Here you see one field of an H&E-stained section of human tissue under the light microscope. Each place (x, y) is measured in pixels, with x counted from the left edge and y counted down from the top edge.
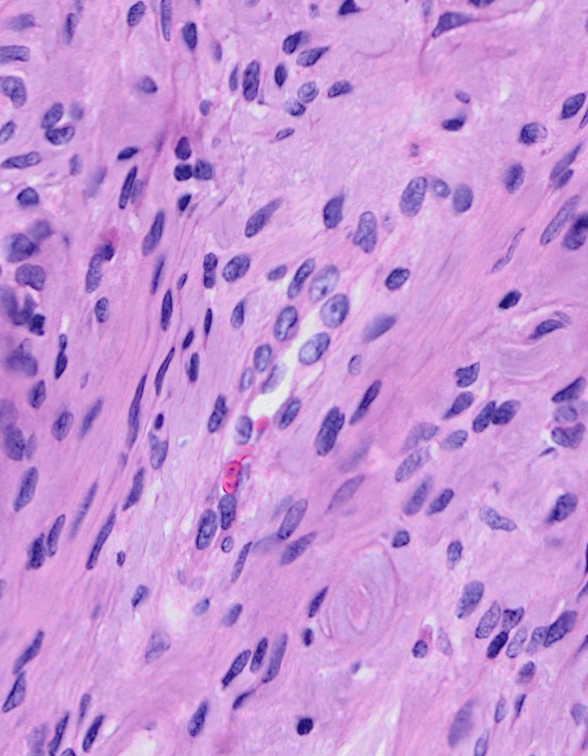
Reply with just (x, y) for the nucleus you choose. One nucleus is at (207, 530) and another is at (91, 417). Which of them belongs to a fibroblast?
(91, 417)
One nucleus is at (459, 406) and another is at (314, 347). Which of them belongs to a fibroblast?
(459, 406)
